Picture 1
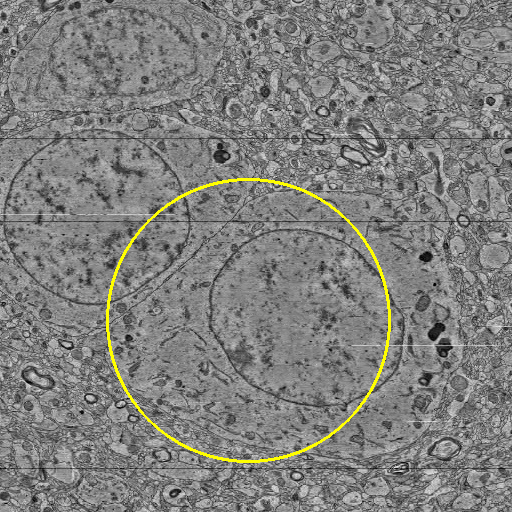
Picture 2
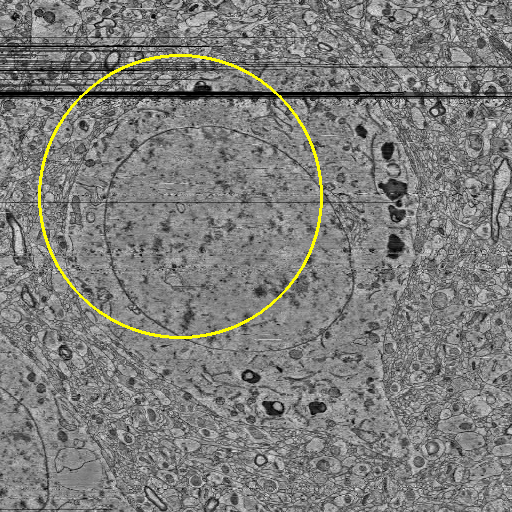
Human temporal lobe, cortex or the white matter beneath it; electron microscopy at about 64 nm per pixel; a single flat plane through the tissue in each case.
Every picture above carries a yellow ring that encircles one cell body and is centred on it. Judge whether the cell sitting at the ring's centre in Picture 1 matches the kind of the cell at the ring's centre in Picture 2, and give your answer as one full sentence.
Yes, the cells centred in the rings of Pictures 1 and 2 belong to one kind.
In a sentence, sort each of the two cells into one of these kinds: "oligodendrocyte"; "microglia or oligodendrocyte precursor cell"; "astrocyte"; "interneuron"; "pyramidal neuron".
The second cell is a pyramidal neuron, just as the first is.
